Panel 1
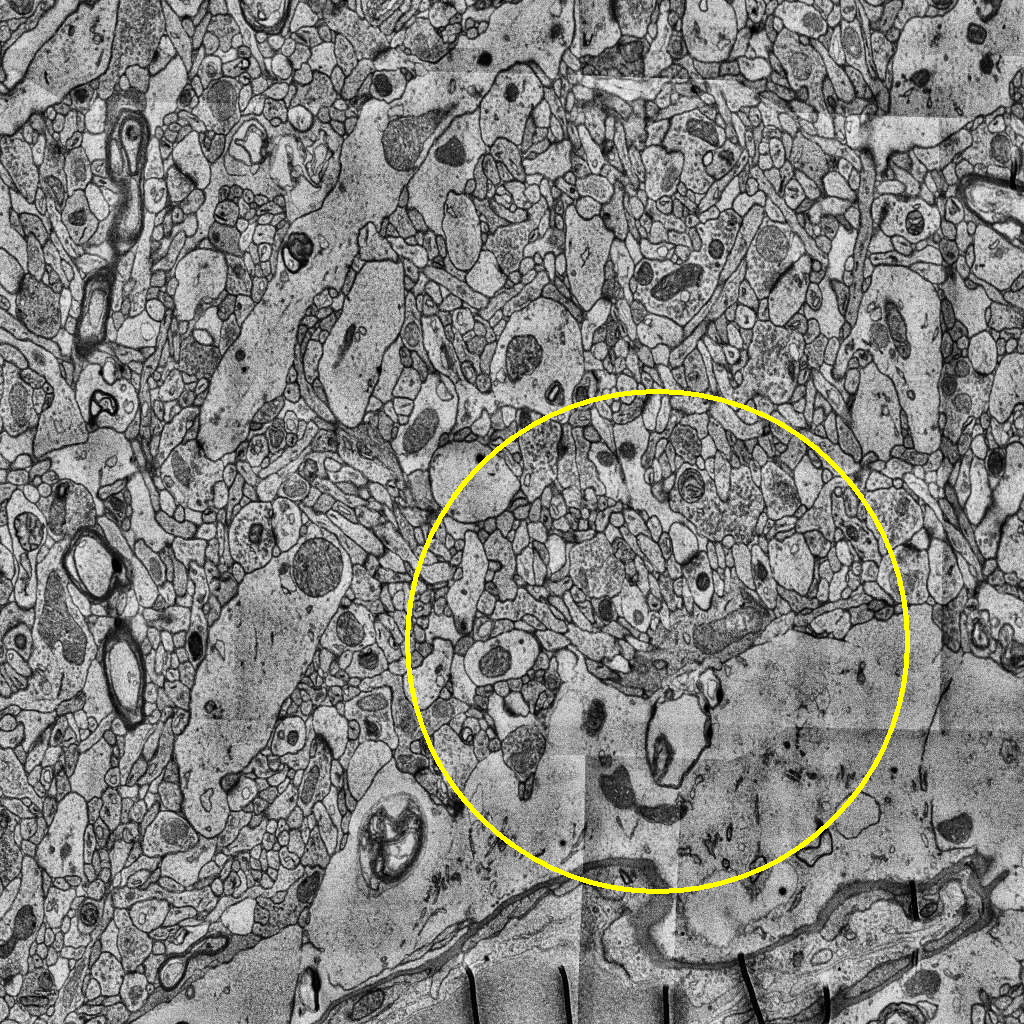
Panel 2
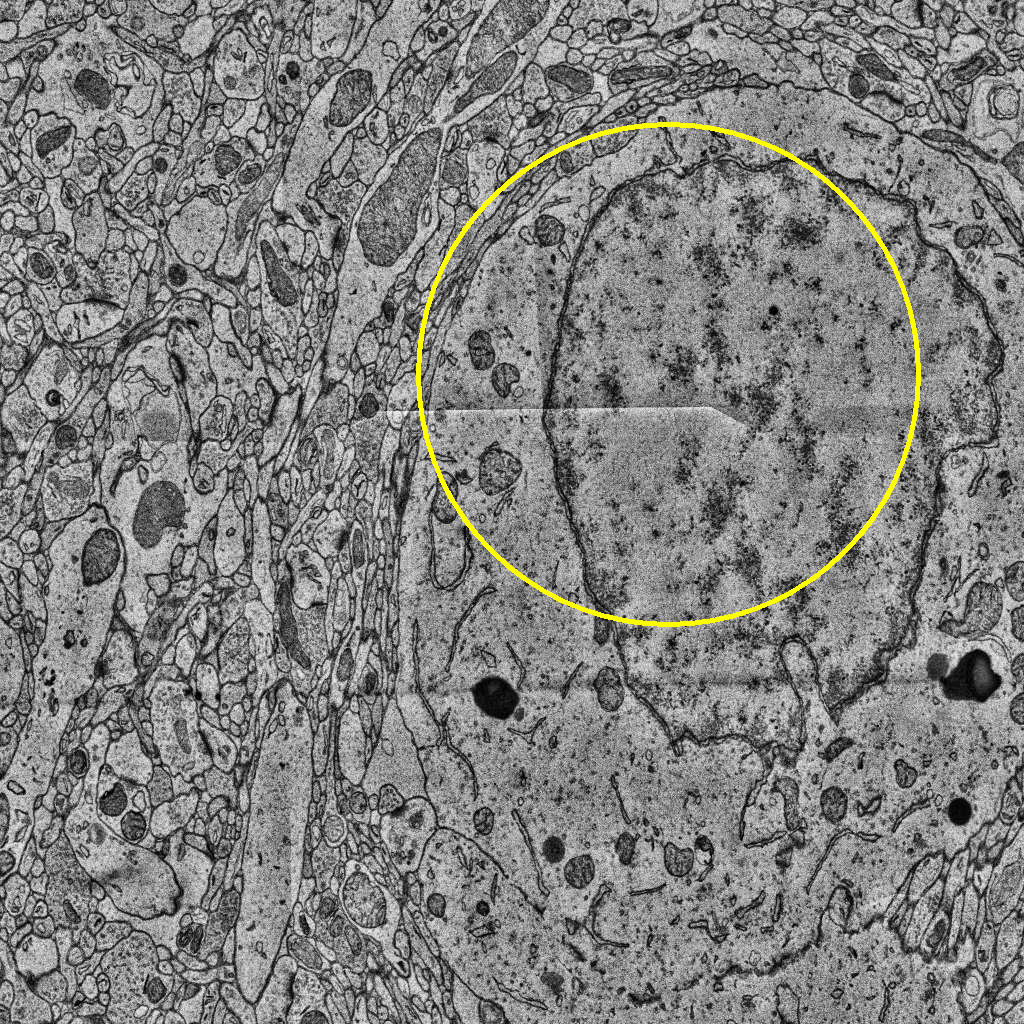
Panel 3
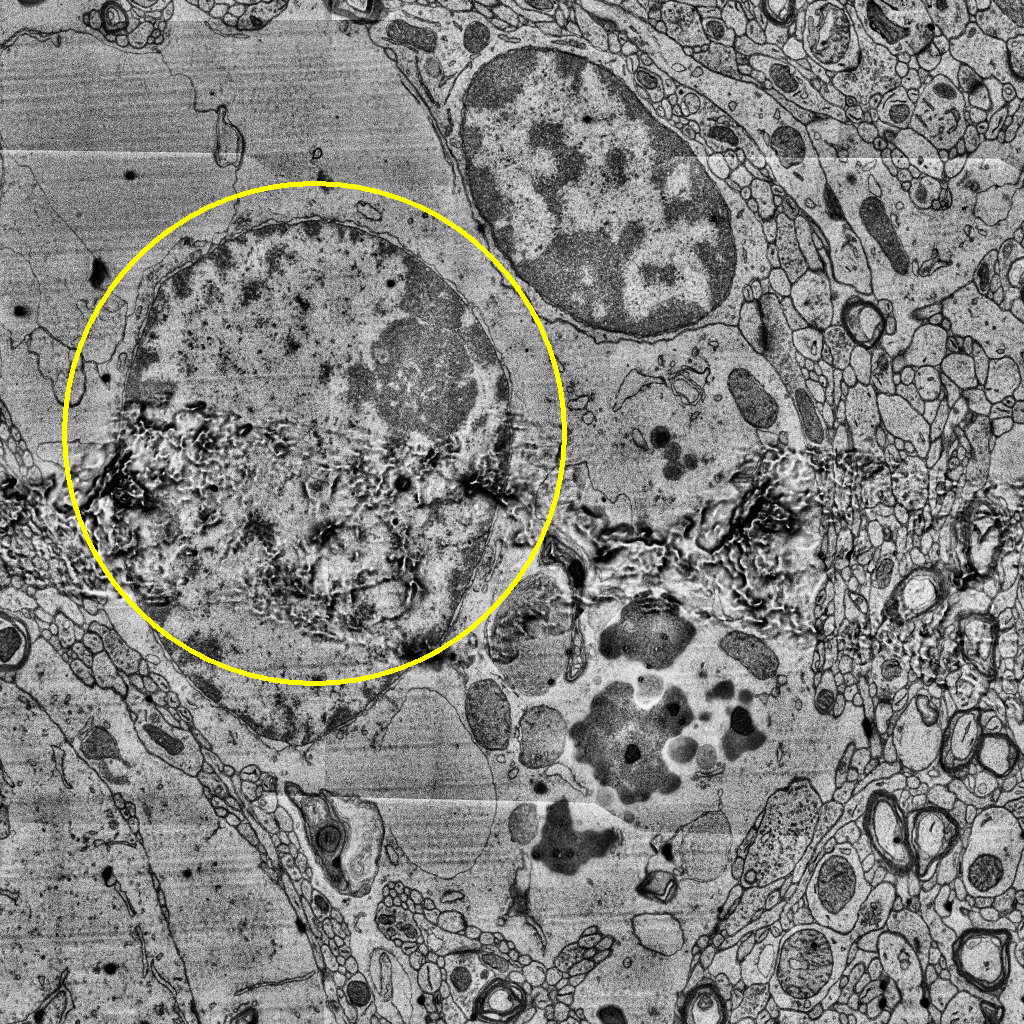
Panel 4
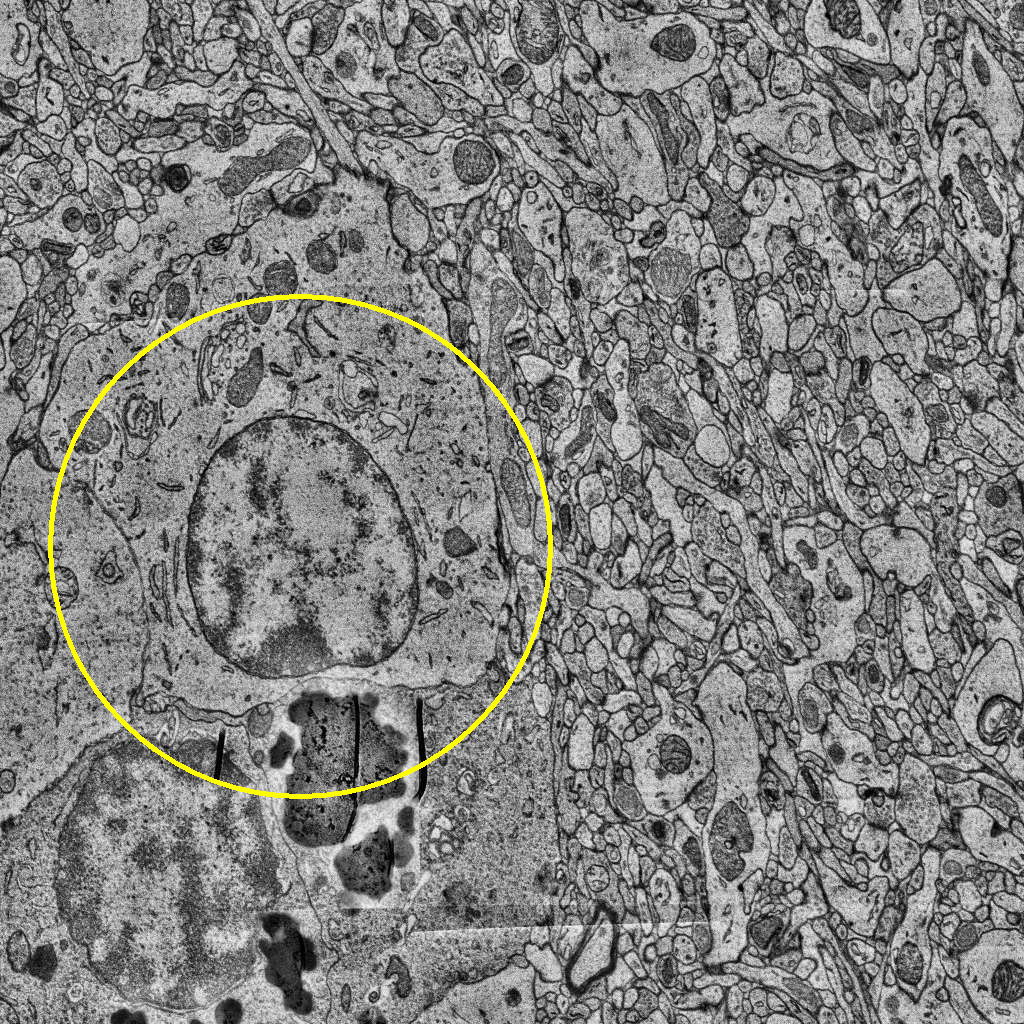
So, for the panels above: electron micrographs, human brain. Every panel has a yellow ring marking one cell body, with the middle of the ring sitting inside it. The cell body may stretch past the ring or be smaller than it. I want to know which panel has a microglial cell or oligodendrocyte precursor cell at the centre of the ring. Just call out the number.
4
